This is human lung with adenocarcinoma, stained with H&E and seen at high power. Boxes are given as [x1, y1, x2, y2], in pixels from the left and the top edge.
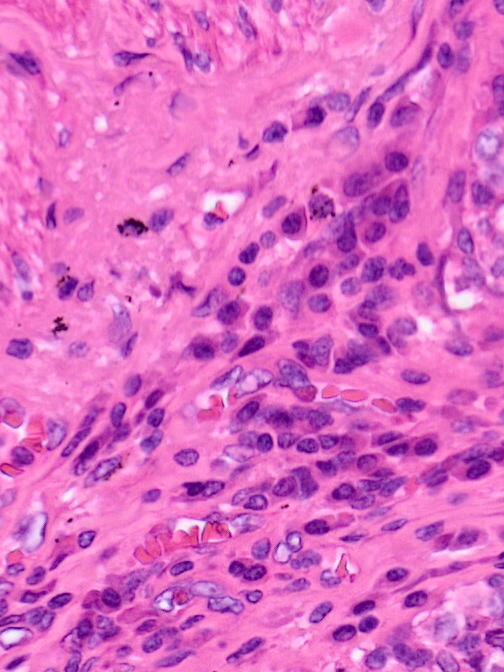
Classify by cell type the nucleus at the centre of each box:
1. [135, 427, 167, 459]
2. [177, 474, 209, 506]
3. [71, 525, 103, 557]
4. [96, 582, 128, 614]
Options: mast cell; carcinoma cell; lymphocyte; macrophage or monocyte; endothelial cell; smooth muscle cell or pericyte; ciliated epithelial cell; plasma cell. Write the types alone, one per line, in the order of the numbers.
lymphocyte
plasma cell
mast cell
plasma cell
